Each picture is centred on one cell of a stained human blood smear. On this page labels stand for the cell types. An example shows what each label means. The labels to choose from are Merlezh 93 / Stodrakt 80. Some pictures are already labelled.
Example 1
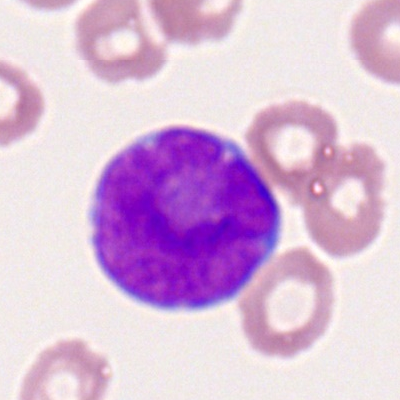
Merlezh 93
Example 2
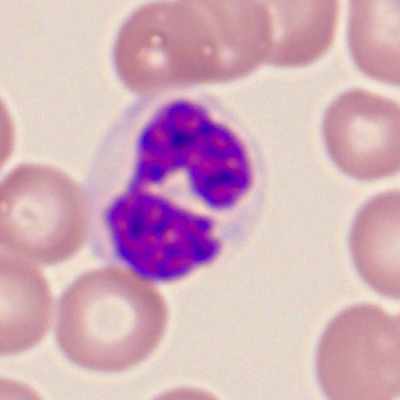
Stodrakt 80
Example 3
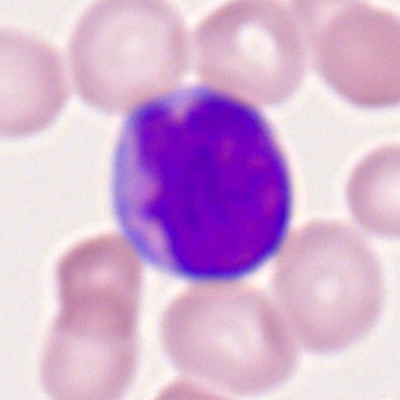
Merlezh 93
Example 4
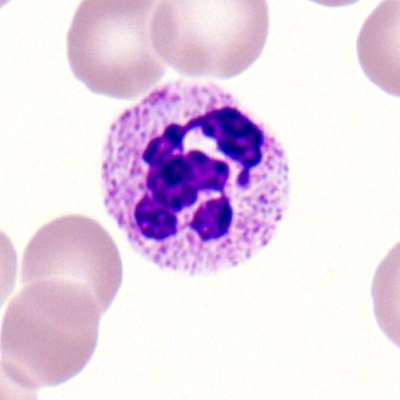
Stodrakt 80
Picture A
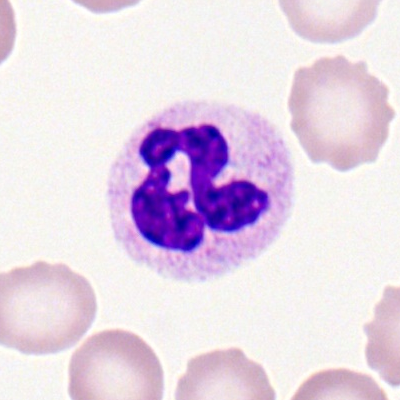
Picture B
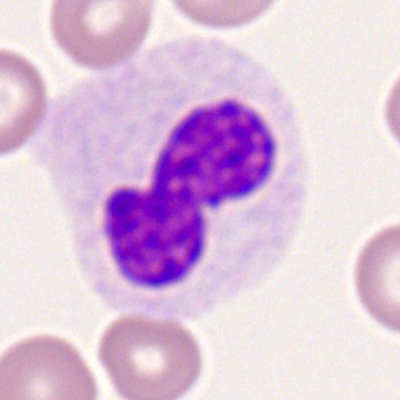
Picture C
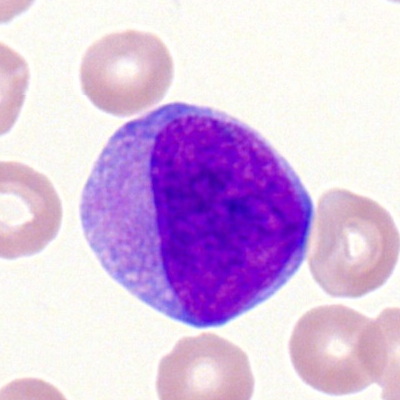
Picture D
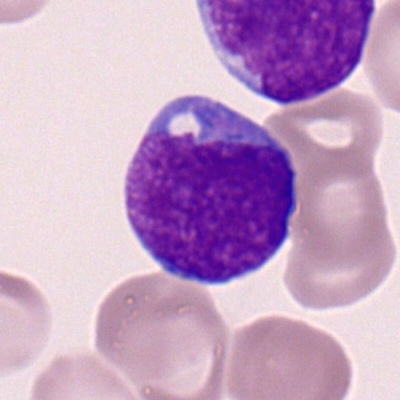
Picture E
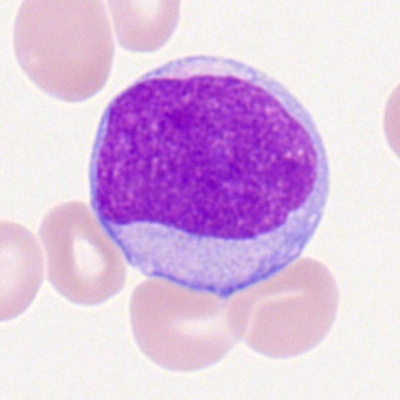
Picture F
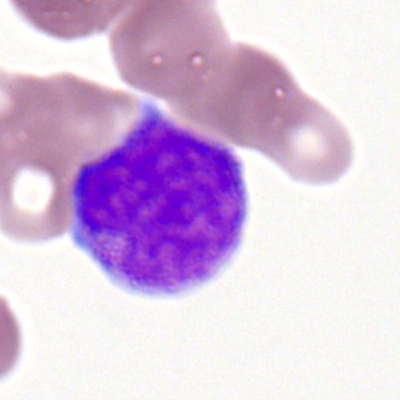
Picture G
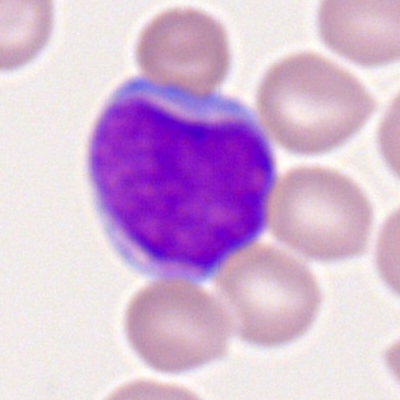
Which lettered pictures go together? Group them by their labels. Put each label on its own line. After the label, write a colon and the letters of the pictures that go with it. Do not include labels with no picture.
Merlezh 93: C, D, E, F, G
Stodrakt 80: A, B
